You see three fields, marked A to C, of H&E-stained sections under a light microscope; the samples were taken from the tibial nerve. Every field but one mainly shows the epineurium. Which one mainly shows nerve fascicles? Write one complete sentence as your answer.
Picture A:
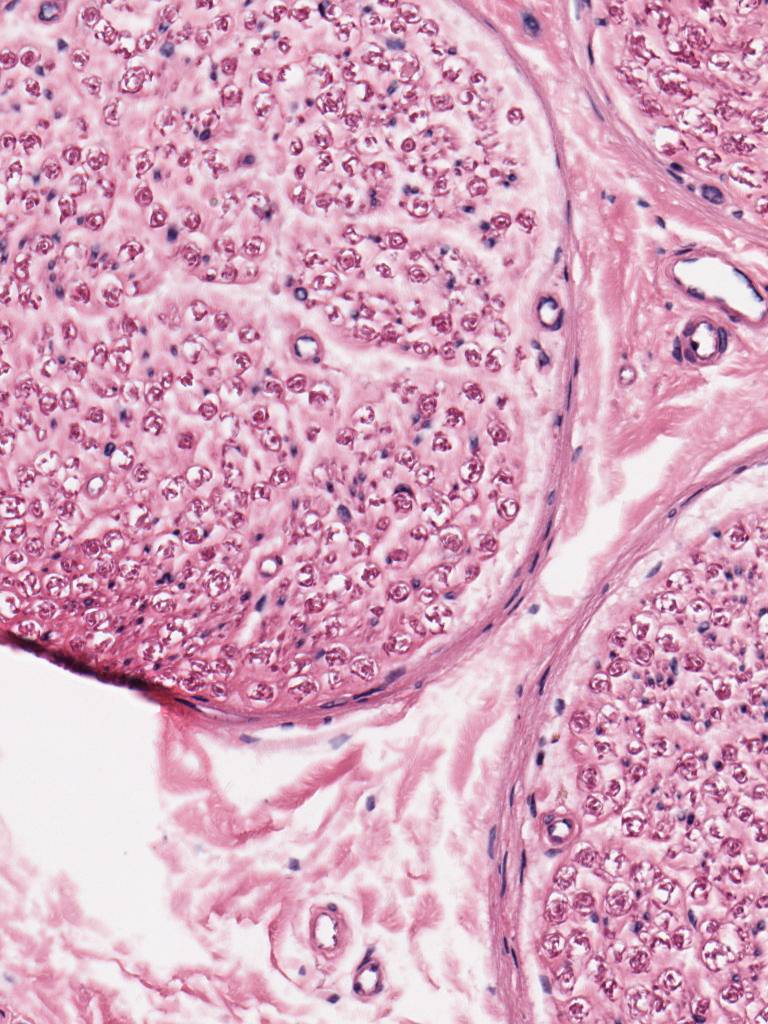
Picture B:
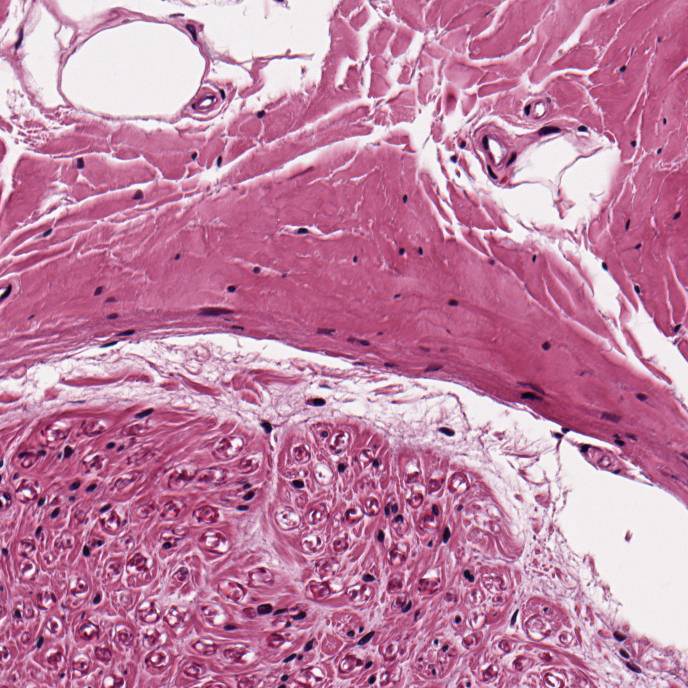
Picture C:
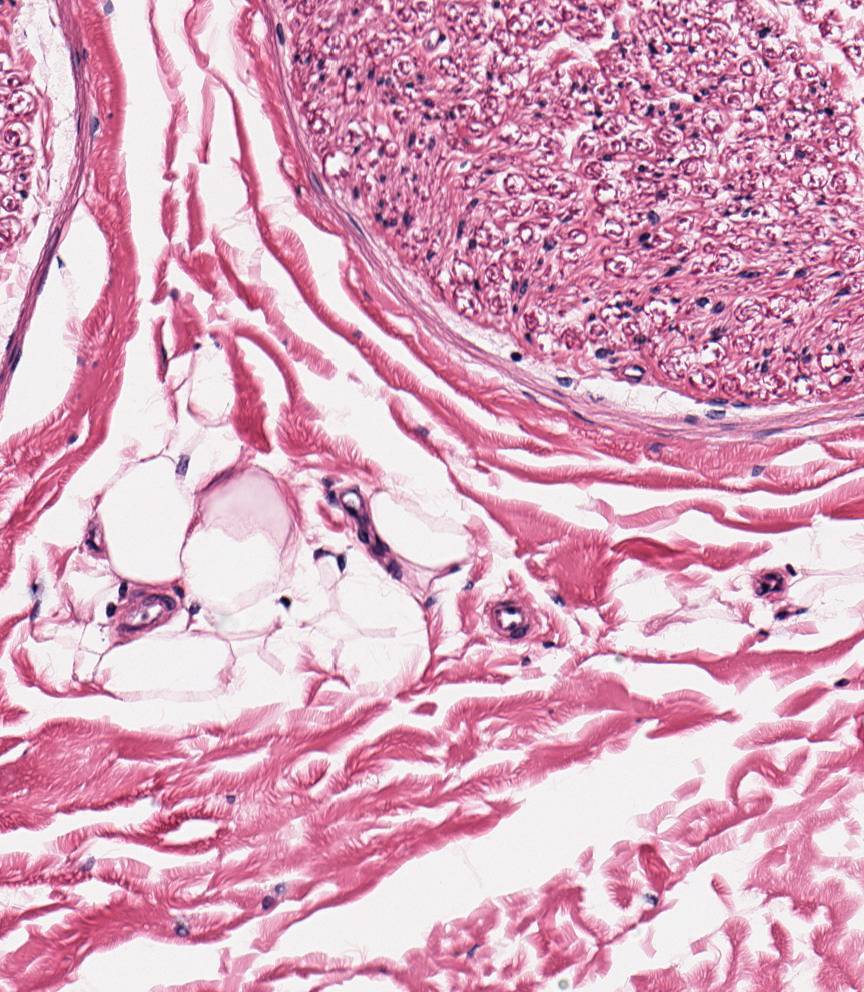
Picture A is the field that mainly shows nerve fascicles.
